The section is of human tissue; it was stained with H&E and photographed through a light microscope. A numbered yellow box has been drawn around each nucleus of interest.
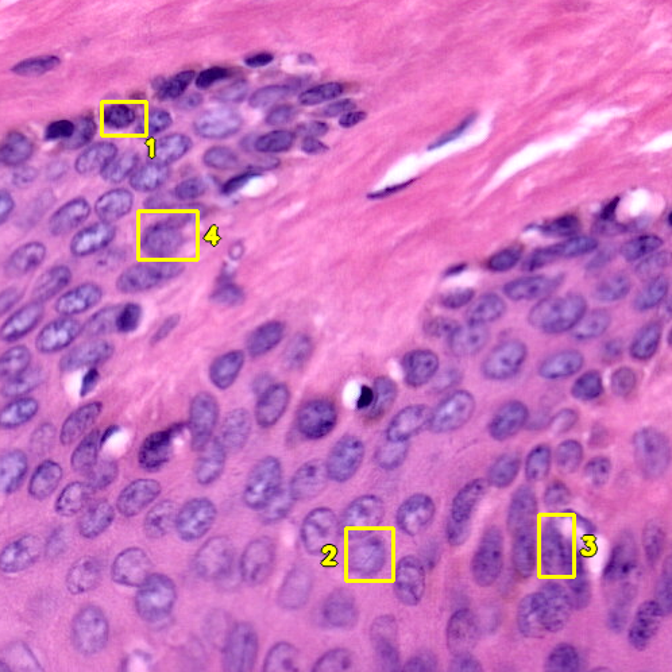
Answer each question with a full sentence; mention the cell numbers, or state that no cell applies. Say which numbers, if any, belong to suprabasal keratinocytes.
The cell labelled 2 is a suprabasal keratinocyte, while the remaining numbered cells are not.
